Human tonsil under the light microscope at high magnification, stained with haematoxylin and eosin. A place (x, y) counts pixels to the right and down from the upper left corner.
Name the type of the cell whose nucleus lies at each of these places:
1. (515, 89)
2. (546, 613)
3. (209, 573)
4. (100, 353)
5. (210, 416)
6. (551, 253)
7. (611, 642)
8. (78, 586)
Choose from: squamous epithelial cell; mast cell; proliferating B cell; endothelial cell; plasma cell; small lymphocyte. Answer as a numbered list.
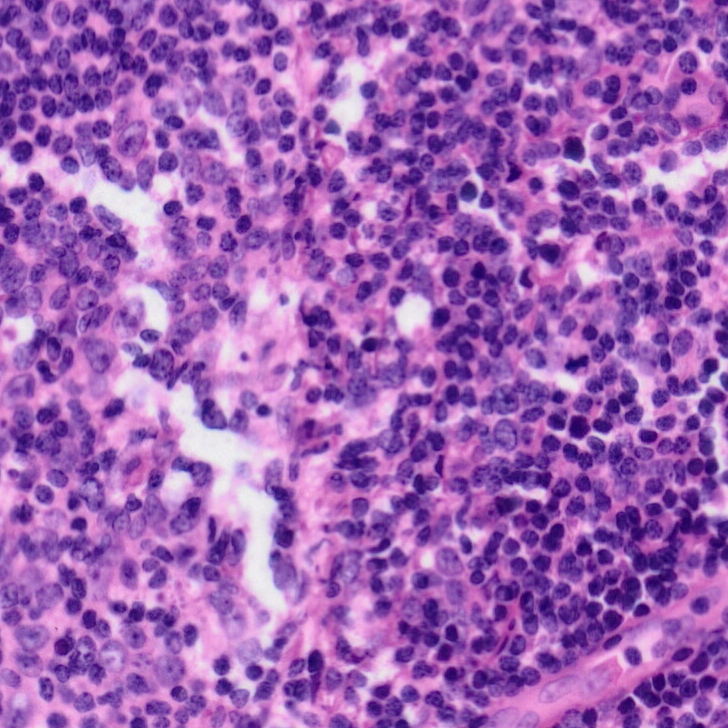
1. small lymphocyte
2. small lymphocyte
3. proliferating B cell
4. proliferating B cell
5. proliferating B cell
6. proliferating B cell
7. endothelial cell
8. proliferating B cell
